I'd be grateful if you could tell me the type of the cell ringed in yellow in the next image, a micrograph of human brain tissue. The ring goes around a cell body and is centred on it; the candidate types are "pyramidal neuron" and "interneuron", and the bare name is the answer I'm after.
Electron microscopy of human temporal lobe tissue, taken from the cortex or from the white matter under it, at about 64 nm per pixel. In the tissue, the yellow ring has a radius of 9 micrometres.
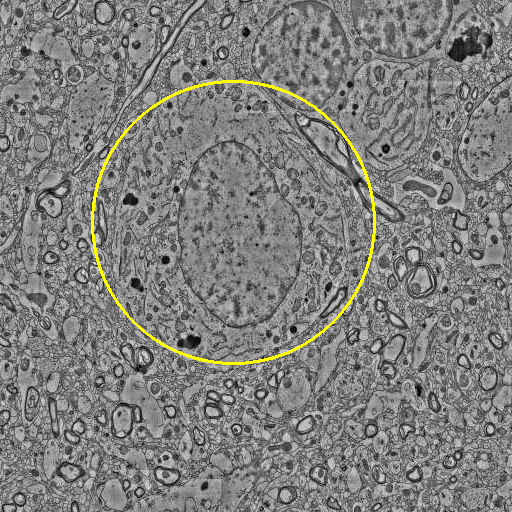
interneuron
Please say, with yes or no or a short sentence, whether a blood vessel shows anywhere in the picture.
No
